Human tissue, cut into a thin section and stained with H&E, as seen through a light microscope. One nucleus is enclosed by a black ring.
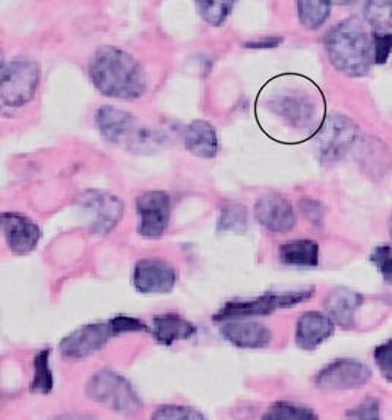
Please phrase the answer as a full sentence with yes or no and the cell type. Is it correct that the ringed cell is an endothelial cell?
No, it is as a carcinoma cell, not an endothelial cell, that the ringed cell is classified.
